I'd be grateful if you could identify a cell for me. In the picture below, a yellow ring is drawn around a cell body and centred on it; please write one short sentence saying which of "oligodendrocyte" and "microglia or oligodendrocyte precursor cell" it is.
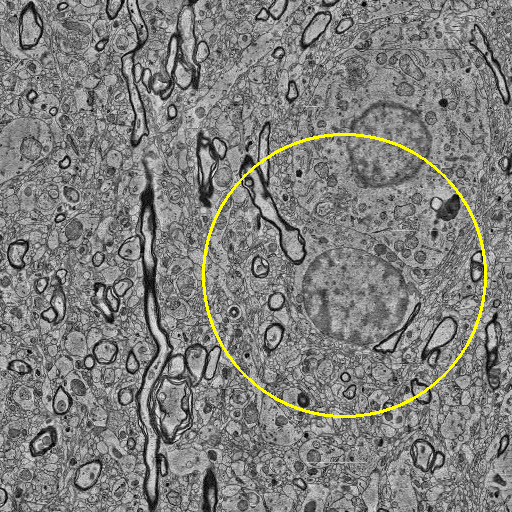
The cell under the ring's centre is an oligodendrocyte.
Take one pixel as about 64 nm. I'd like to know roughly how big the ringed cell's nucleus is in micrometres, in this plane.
In this plane, the nucleus is roughly 7 by 6 micrometres.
